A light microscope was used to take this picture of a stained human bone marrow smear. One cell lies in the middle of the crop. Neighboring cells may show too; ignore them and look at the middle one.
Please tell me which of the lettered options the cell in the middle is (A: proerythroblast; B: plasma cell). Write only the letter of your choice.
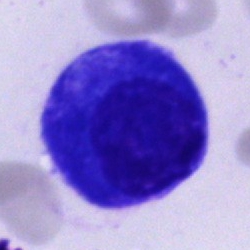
B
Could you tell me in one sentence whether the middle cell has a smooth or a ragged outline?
There are no projections here; the outline is simply smooth.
